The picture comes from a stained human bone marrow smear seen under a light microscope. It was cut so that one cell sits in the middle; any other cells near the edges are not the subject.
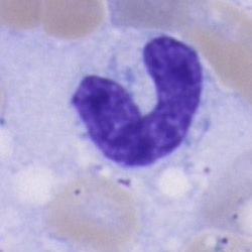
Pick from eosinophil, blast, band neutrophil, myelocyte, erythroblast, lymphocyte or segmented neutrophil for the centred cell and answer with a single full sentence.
The cell under consideration, at the middle of the crop, is a band neutrophil.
